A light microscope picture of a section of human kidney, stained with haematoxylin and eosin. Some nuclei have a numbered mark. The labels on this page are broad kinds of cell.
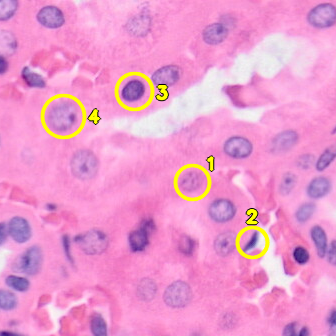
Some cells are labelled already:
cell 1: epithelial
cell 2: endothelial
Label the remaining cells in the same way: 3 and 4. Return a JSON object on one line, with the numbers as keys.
{"3": "epithelial", "4": "epithelial"}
